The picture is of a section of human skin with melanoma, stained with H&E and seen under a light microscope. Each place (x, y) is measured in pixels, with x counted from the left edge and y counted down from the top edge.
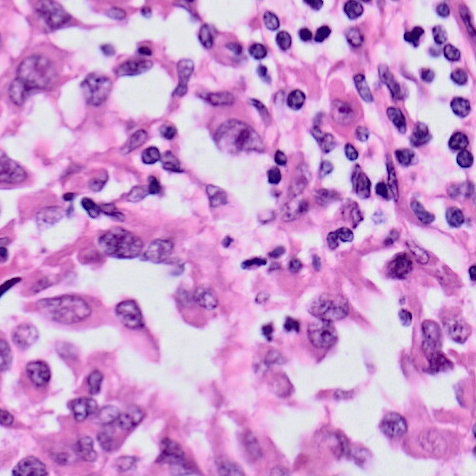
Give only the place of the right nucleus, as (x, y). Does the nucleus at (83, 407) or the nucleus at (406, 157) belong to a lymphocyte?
(406, 157)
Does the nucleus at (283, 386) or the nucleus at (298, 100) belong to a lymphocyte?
(298, 100)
